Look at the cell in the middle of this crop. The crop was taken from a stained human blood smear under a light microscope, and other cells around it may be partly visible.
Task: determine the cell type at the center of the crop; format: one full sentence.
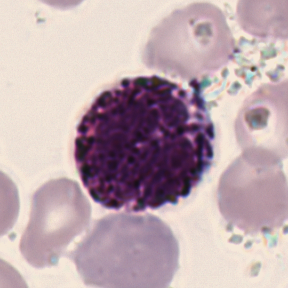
Classification of the middle cell gives a basophil.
